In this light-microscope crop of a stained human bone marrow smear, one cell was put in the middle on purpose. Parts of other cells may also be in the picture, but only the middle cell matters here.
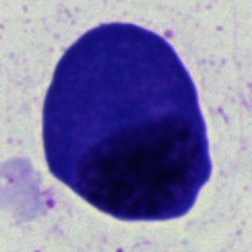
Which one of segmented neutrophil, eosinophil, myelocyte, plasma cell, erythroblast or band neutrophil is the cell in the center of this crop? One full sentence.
The cell occupying the middle of the crop is a plasma cell.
